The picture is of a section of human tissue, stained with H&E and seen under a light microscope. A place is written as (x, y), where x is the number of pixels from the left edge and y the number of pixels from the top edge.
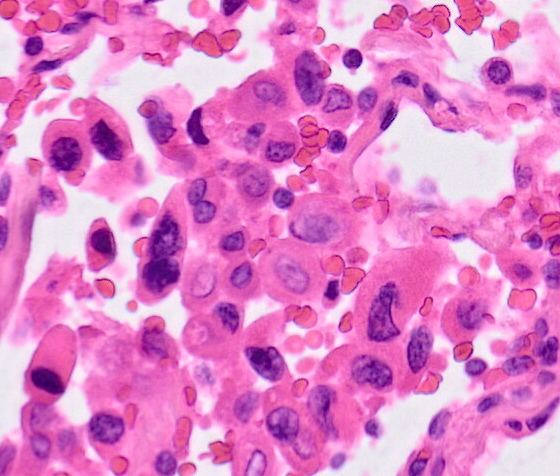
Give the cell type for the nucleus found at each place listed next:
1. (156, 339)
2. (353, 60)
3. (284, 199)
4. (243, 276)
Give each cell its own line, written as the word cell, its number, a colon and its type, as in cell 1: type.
cell 1: macrophage or monocyte
cell 2: lymphocyte
cell 3: lymphocyte
cell 4: macrophage or monocyte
